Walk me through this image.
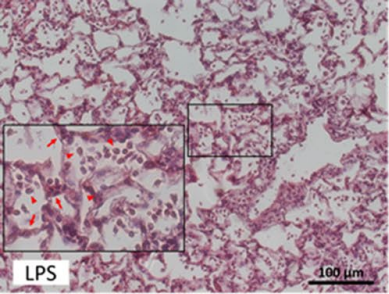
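This is lung tissue in which the alveolar walls are markedly thickened and crowded with dark purple nuclei. The air spaces are smaller and irregular compared with normal lung, and many are partly filled with cells. Pink material and scattered cells occupy some alveoli, so the tissue looks dense and cellular rather than lacy.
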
